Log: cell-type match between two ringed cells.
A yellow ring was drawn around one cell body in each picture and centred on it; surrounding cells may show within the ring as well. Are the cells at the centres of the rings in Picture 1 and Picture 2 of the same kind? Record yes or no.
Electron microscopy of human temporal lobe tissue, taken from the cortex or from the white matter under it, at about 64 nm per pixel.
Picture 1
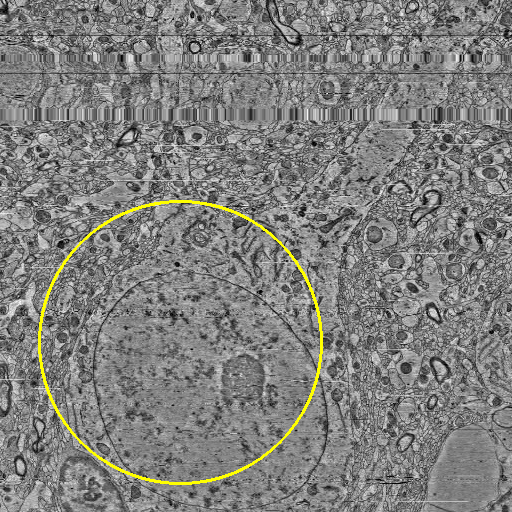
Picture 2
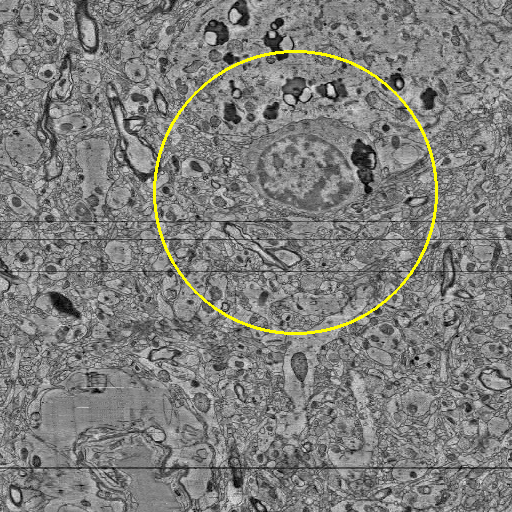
no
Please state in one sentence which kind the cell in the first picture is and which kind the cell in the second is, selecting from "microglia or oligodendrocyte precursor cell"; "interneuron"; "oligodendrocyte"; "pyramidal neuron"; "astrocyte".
The first ringed cell is a pyramidal neuron, the second ringed cell an oligodendrocyte.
